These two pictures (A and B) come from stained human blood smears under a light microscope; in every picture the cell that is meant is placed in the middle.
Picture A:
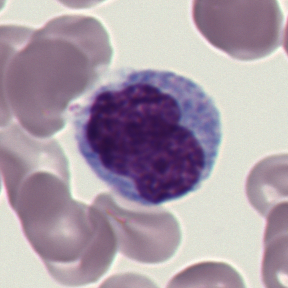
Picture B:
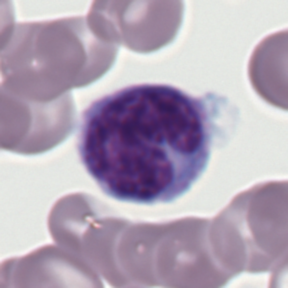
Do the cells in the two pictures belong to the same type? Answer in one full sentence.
Yes, they are the same type: both are monocytes.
